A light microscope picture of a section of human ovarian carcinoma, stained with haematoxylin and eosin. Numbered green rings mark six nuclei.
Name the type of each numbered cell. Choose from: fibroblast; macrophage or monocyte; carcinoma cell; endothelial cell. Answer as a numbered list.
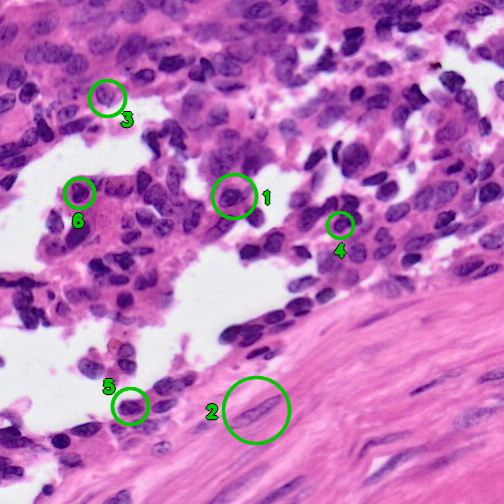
1. carcinoma cell
2. fibroblast
3. macrophage or monocyte
4. carcinoma cell
5. carcinoma cell
6. macrophage or monocyte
